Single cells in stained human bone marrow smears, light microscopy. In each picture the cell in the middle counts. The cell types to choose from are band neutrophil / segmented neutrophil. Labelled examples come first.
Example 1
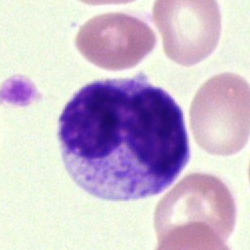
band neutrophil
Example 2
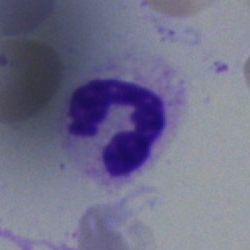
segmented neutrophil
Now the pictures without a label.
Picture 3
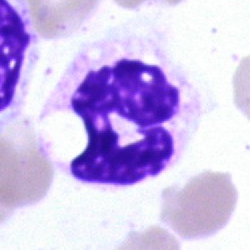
segmented neutrophil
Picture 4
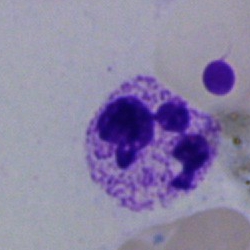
segmented neutrophil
